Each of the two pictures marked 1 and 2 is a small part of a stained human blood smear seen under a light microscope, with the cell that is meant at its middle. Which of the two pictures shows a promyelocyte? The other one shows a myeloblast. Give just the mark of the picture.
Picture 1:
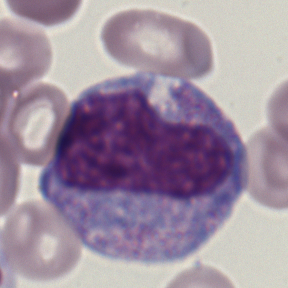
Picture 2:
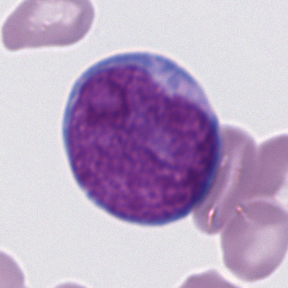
1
